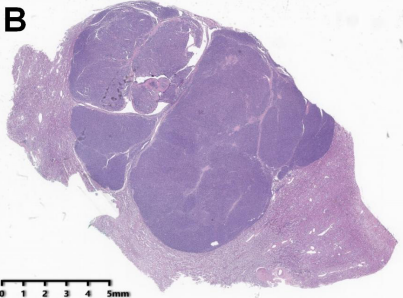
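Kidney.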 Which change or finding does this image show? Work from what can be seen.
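Several dark purple rounded nodules of differing size. Nodules separated by thin pale bands. Paler surrounding tissue at the edges of the section.
Multinodular.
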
